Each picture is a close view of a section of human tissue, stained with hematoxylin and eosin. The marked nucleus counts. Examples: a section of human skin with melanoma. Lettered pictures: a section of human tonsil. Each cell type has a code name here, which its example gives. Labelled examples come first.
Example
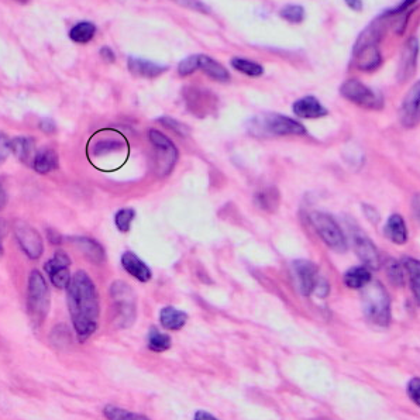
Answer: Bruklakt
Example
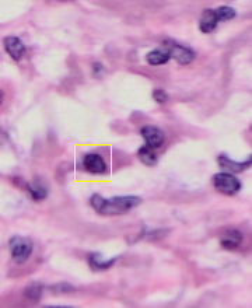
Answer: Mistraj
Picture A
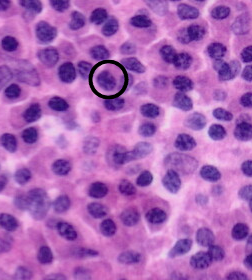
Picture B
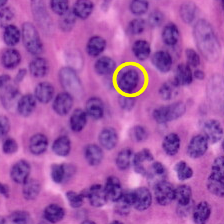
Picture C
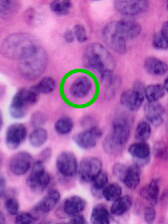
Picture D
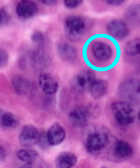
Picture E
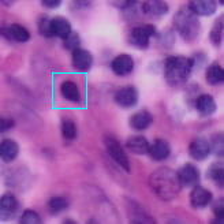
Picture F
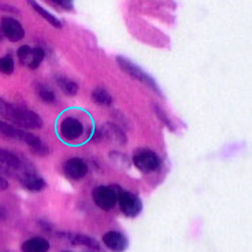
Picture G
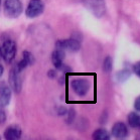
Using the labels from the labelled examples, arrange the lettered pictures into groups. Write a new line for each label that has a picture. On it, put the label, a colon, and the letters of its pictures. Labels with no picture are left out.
Bruklakt: C, E, G
Mistraj: A, B, D, F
